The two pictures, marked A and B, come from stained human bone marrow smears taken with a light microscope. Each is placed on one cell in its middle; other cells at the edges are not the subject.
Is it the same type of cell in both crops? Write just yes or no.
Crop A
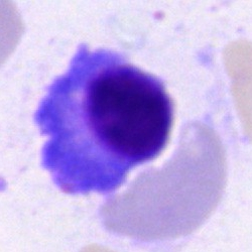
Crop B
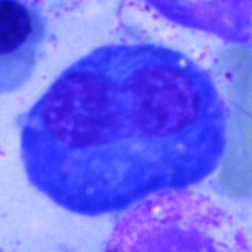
yes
